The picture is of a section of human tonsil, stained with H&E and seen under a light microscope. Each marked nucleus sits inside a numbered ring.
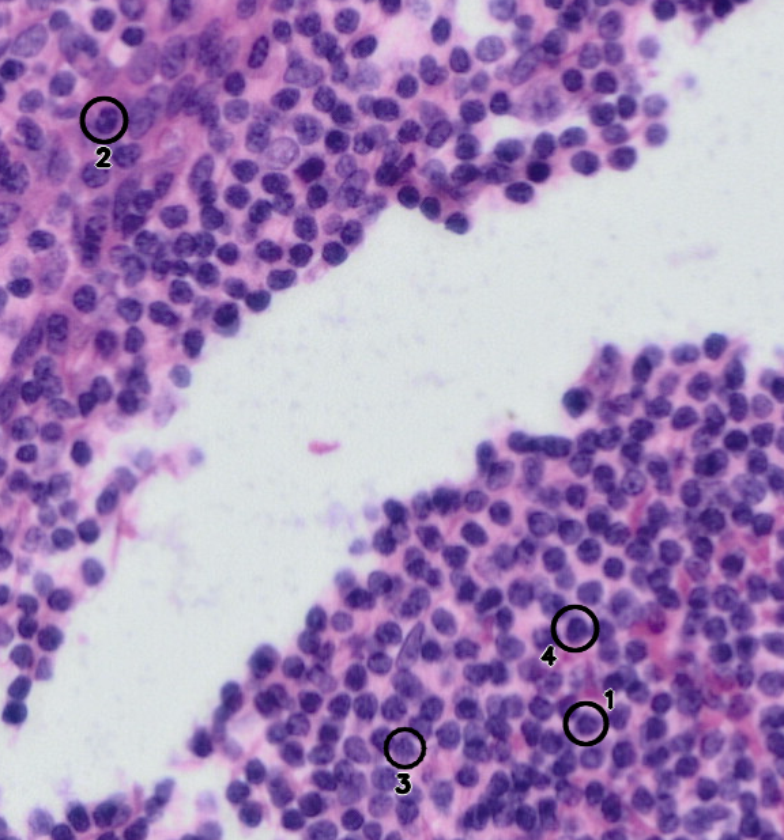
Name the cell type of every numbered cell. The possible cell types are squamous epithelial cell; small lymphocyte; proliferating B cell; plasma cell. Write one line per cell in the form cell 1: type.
cell 1: small lymphocyte
cell 2: plasma cell
cell 3: small lymphocyte
cell 4: small lymphocyte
